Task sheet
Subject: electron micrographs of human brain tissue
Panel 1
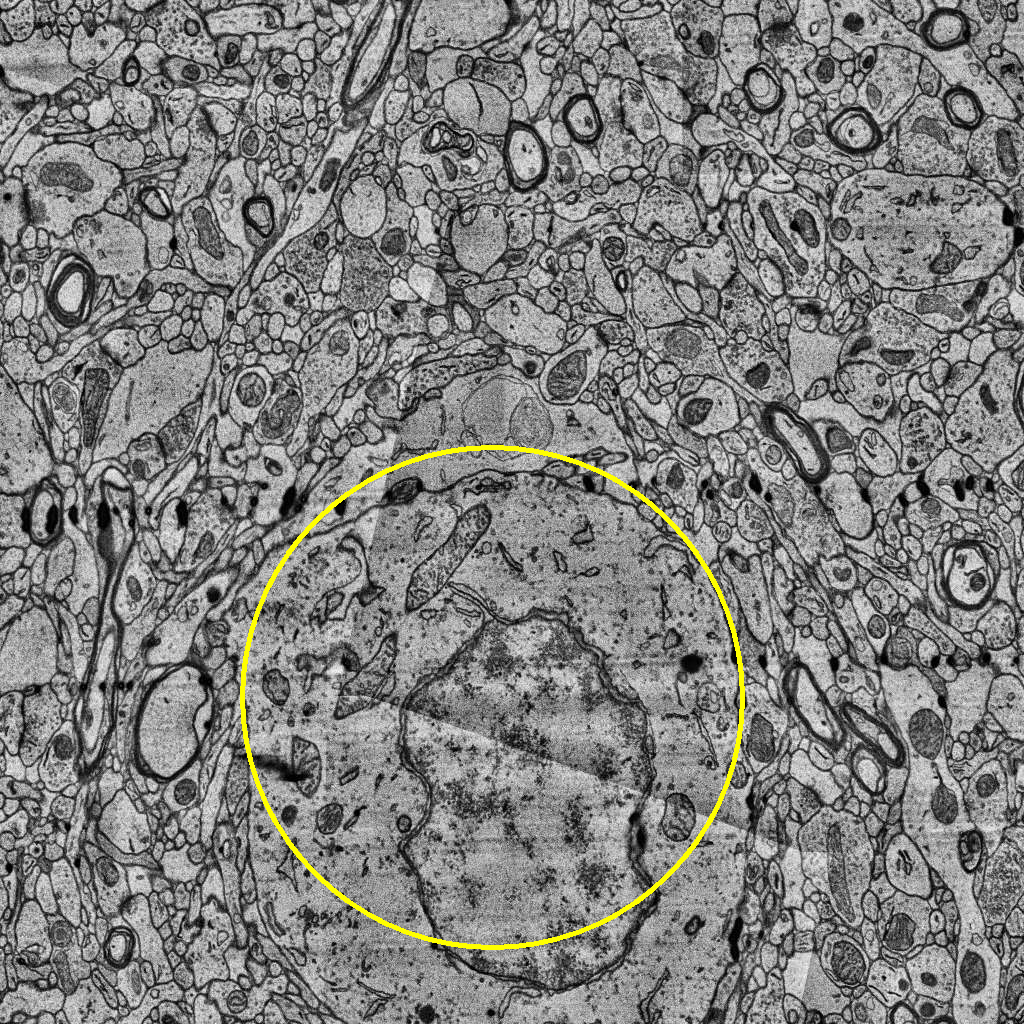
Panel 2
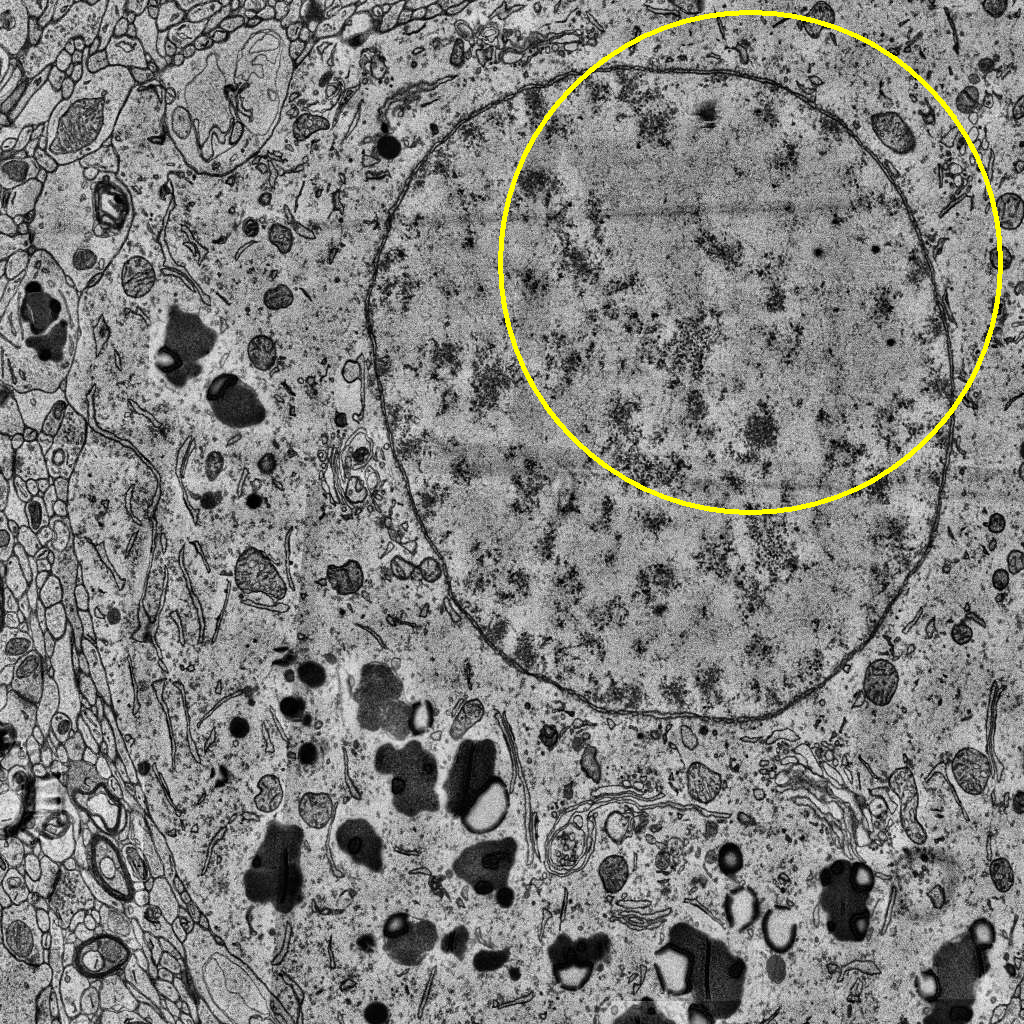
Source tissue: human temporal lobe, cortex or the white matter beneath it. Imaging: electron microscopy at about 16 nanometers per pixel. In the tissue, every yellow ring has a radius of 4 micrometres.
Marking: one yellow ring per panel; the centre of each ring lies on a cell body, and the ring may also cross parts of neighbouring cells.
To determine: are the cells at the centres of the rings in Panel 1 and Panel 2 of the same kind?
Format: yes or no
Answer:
yes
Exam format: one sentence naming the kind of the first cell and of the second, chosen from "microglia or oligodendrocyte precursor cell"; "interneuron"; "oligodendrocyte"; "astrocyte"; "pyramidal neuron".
Each of the two cells is a pyramidal neuron.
